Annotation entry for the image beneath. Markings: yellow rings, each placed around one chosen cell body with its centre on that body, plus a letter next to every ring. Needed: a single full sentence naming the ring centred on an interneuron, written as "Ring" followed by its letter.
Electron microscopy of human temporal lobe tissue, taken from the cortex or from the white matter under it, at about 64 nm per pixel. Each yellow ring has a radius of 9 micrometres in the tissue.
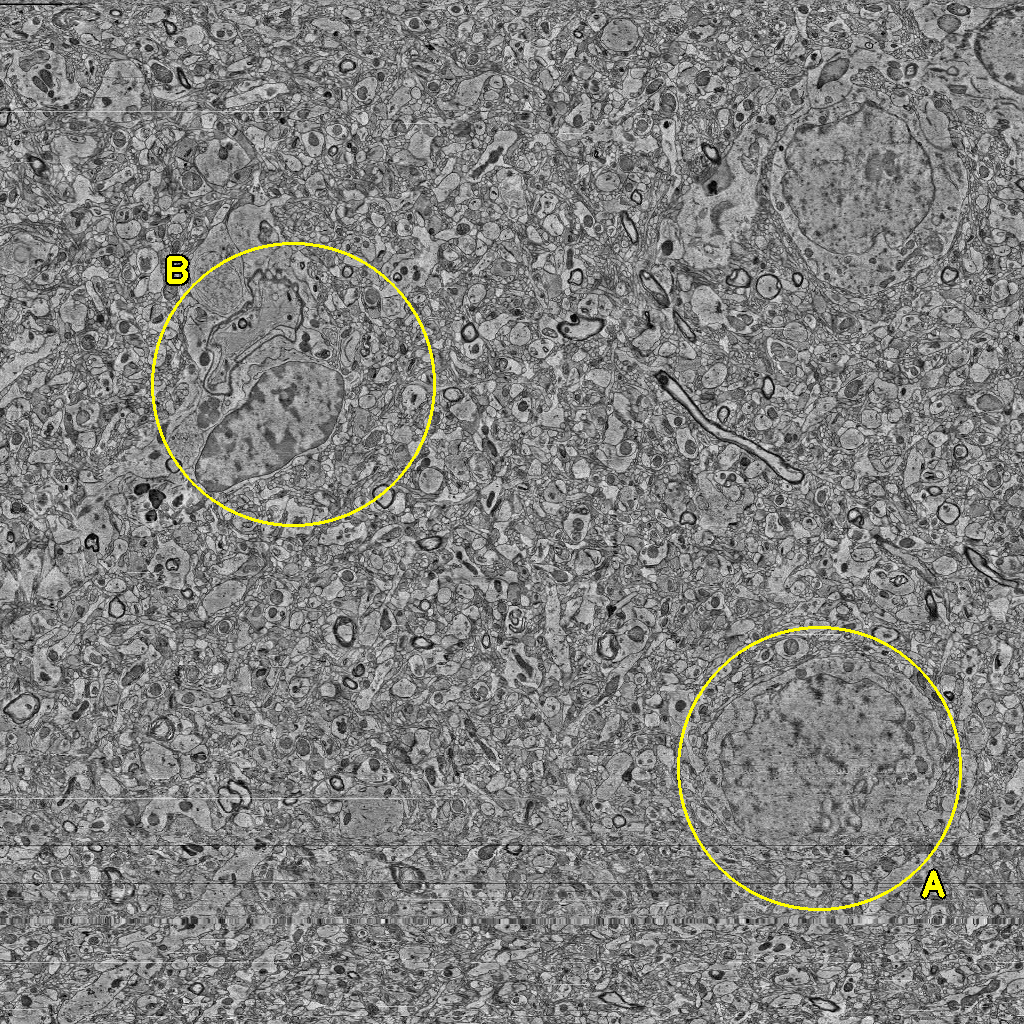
The image shows the cell in question at the centre of Ring A.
